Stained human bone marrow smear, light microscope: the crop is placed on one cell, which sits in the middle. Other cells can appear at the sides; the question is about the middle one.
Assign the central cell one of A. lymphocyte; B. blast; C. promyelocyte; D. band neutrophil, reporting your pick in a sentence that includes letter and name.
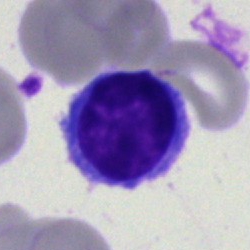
The cell centered in the crop is a lymphocyte, making option A the correct pick.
